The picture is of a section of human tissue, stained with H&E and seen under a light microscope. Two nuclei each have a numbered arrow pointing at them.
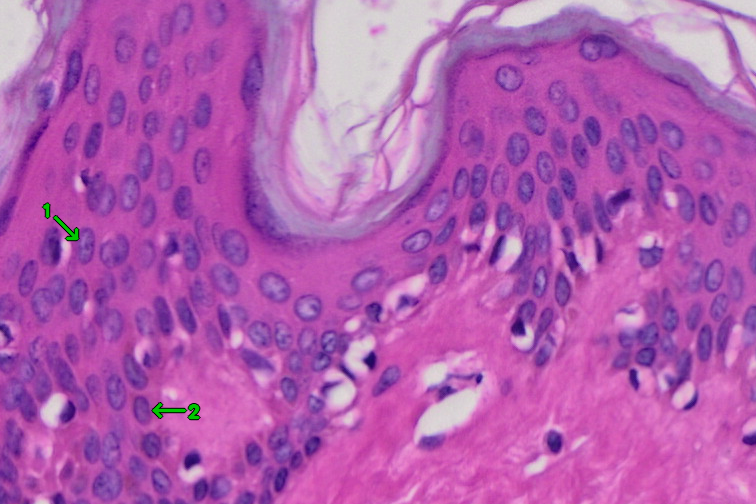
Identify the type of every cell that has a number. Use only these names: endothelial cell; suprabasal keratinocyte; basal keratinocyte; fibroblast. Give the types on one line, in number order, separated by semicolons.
suprabasal keratinocyte; basal keratinocyte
